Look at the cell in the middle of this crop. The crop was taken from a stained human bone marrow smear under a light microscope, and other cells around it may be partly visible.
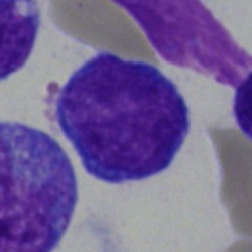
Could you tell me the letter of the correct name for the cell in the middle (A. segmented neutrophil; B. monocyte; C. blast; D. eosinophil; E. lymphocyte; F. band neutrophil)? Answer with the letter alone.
C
